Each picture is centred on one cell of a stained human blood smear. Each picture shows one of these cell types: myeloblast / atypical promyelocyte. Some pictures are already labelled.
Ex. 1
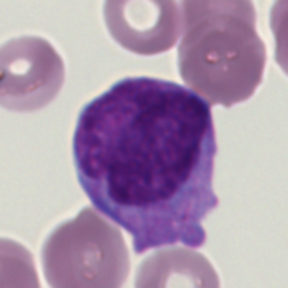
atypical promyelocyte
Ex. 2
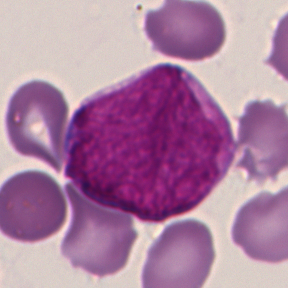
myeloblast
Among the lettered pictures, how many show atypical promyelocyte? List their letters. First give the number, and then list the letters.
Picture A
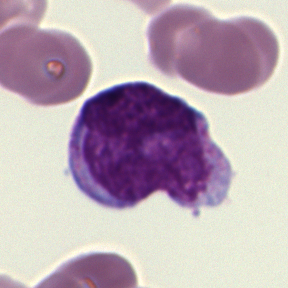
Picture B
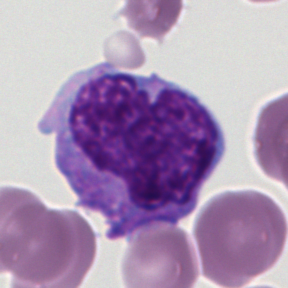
2, namely A, B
